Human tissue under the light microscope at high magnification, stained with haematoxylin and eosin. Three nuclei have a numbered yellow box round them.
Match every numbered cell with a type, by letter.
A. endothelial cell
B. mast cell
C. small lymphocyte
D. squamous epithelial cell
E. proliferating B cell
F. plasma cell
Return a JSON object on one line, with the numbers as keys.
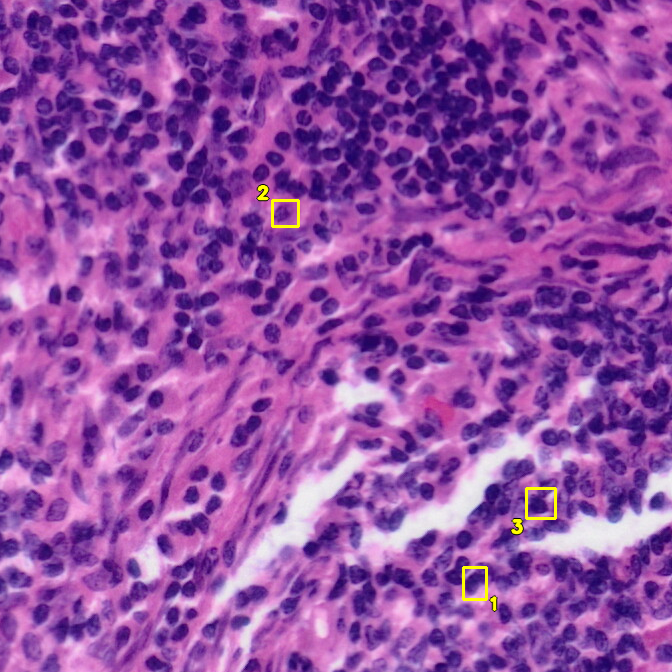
{"1": "C", "2": "F", "3": "C"}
